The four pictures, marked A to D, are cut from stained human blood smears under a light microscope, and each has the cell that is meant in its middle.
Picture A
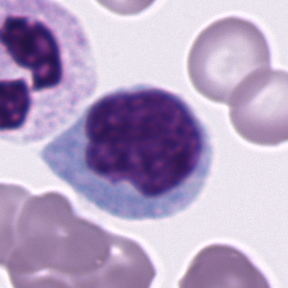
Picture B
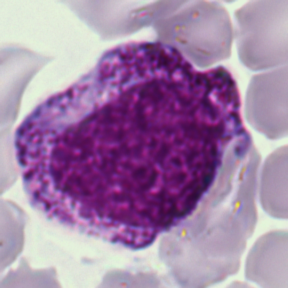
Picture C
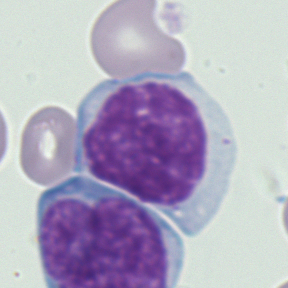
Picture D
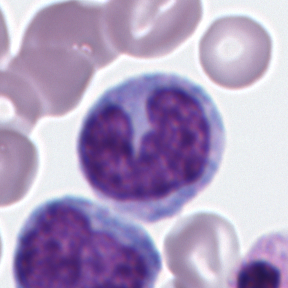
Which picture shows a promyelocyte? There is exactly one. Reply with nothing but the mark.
B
